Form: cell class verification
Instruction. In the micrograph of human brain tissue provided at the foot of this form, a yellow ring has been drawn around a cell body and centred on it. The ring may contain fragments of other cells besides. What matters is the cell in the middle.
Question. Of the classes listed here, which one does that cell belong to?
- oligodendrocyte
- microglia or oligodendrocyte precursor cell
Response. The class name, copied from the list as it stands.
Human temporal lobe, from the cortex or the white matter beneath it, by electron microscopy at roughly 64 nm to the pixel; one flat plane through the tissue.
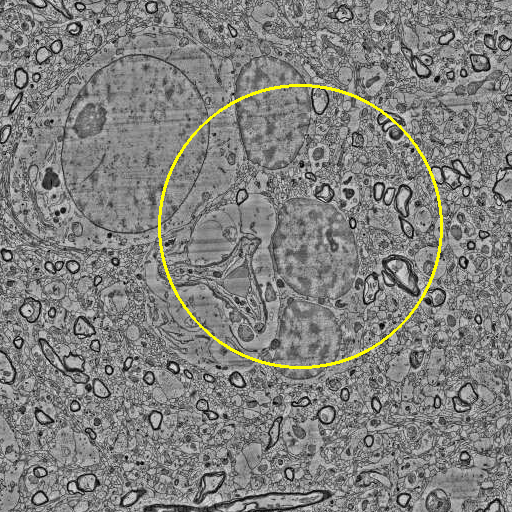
oligodendrocyte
